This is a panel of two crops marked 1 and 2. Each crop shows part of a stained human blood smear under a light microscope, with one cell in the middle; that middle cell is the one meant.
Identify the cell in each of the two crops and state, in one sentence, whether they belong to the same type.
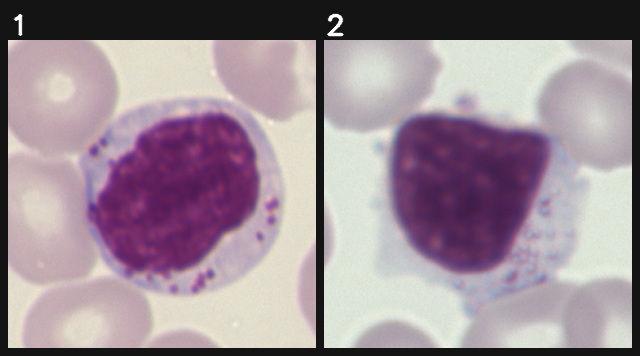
Yes, both crops do show large granular lymphocytes in the middle.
